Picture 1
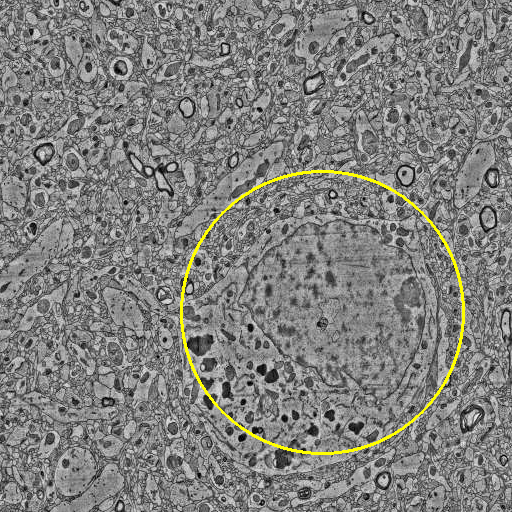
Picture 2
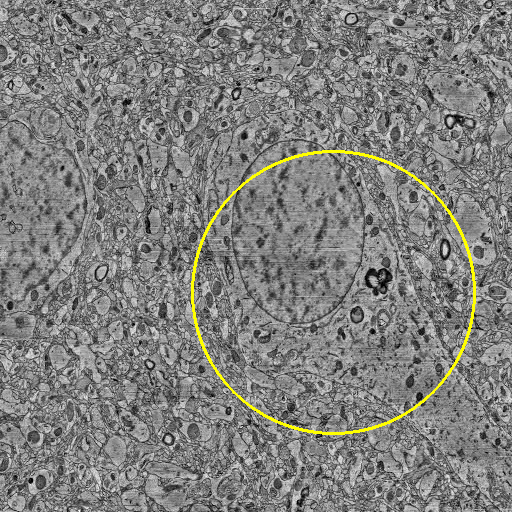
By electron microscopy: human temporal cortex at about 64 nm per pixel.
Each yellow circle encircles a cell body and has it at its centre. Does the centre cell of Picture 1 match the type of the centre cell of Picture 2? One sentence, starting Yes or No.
No, the cell centred in Picture 1 and the one in Picture 2 have separate types.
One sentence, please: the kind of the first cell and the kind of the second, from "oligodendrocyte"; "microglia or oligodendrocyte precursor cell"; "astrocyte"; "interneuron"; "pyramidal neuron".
The ring in the first picture surrounds an interneuron, and the ring in the second surrounds a pyramidal neuron.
